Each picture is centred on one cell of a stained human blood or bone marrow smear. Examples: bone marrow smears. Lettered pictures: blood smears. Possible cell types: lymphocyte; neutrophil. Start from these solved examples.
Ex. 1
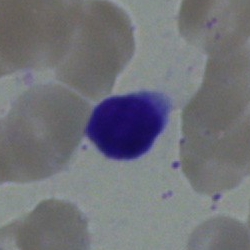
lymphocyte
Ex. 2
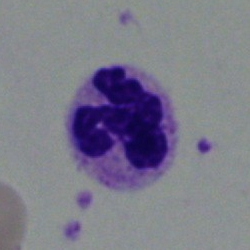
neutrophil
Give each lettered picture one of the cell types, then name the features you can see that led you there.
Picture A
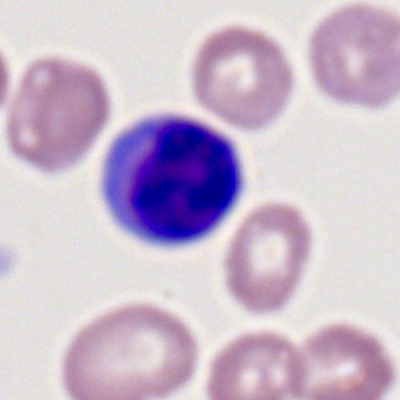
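lymphocyte. Reason: The nucleus fills most of the cell.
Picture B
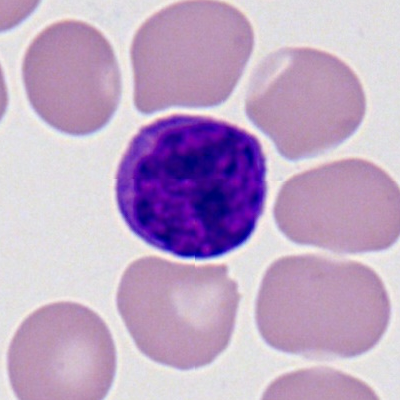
lymphocyte. Reason: The cytoplasm is only a thin rim around the nucleus.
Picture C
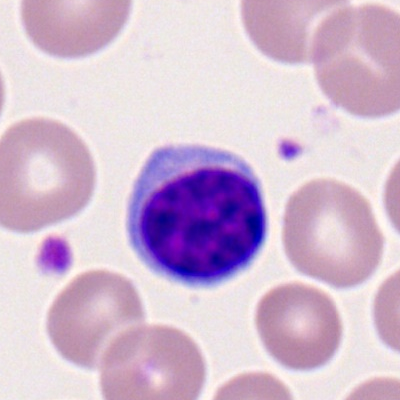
lymphocyte. Reason: The nucleus fills most of the cell.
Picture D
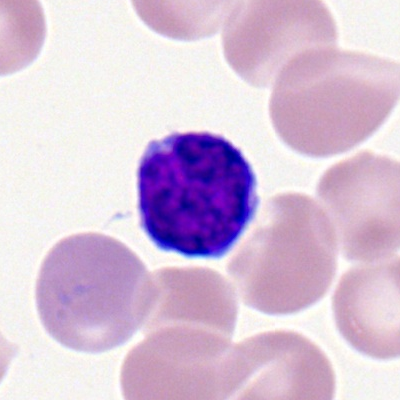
lymphocyte. Reason: The nucleus fills almost the whole cell.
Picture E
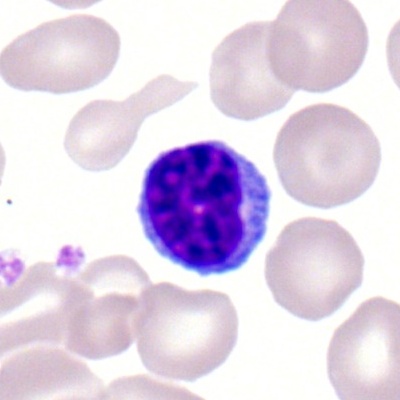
lymphocyte. Reason: The nucleus fills most of the cell.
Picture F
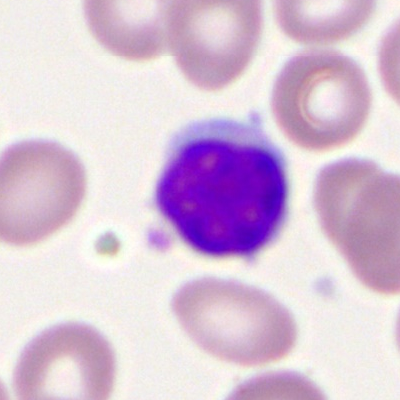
lymphocyte. Reason: The cytoplasm is a scant, pale blue rim.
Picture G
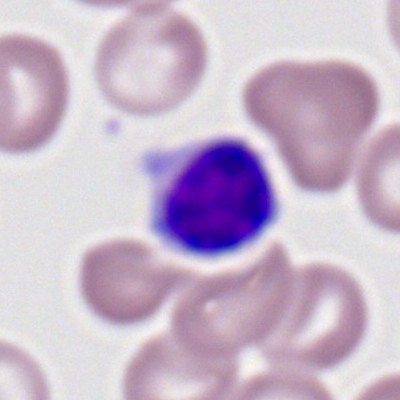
lymphocyte. Reason: The cytoplasm is scant, so the nucleus fills most of the cell.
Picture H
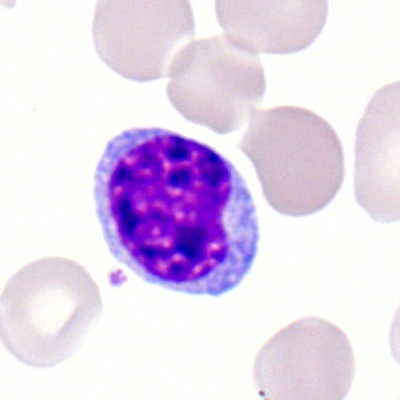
lymphocyte. Reason: The nucleus fills most of the cell.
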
